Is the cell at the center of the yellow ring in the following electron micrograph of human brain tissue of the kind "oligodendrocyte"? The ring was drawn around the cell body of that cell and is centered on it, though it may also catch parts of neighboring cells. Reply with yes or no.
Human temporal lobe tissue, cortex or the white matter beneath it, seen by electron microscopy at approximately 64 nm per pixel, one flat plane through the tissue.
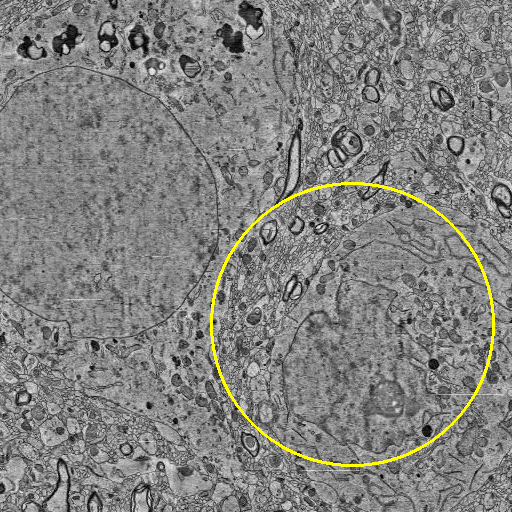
No, it is of another kind.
